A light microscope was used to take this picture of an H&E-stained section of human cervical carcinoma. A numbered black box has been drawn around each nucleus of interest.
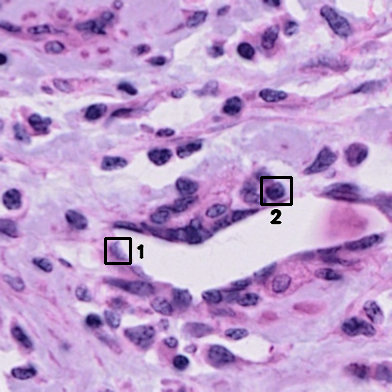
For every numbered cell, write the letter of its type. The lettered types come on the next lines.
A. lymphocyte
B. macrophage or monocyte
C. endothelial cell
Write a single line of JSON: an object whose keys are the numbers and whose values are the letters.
{"1": "C", "2": "A"}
